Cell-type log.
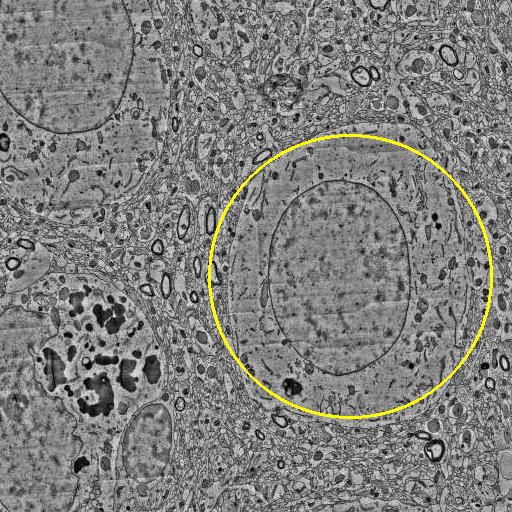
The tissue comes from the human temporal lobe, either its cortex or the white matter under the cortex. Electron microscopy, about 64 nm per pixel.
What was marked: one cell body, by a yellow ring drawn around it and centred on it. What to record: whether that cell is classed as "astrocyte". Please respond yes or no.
No, the cell belongs to another class.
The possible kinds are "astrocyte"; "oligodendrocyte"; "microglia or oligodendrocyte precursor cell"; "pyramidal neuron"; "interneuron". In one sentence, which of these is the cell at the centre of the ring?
The cell marked by the ring is a pyramidal neuron.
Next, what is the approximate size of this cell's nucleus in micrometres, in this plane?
The ringed cell's nucleus measures approximately 12 by 9 micrometres in this plane.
